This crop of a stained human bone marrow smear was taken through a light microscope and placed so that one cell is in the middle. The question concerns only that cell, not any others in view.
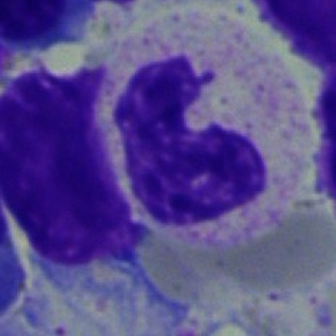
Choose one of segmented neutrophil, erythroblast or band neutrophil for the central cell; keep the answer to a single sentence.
The middle of this crop holds a band neutrophil.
